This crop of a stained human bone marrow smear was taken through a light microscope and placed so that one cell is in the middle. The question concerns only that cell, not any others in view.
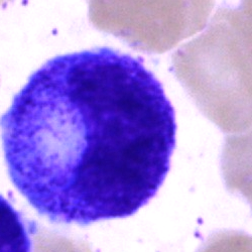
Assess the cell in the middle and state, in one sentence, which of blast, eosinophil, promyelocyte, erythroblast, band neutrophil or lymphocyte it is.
By classification, the middle cell of this crop is a promyelocyte.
